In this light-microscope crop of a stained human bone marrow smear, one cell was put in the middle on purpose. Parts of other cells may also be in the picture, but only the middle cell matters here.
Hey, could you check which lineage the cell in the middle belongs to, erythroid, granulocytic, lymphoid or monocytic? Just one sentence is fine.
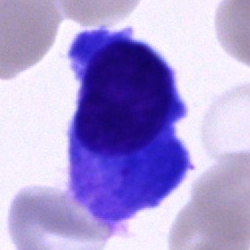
The cell in the middle of the crop is considered part of the lymphoid lineage.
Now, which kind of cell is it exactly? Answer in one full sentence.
Standing at the centre of this crop is a plasma cell.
